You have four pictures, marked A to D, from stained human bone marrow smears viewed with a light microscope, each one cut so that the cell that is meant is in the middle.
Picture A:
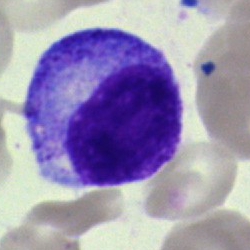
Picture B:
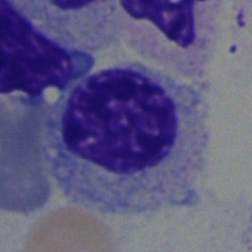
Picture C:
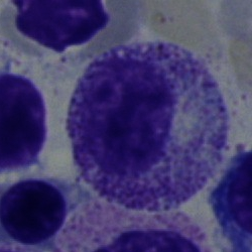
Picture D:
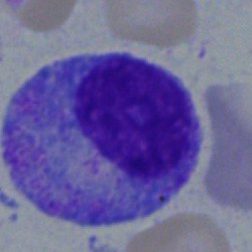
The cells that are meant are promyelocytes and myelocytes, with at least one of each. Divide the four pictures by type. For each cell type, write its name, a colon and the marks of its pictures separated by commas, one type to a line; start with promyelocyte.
promyelocyte: A, D
myelocyte: B, C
